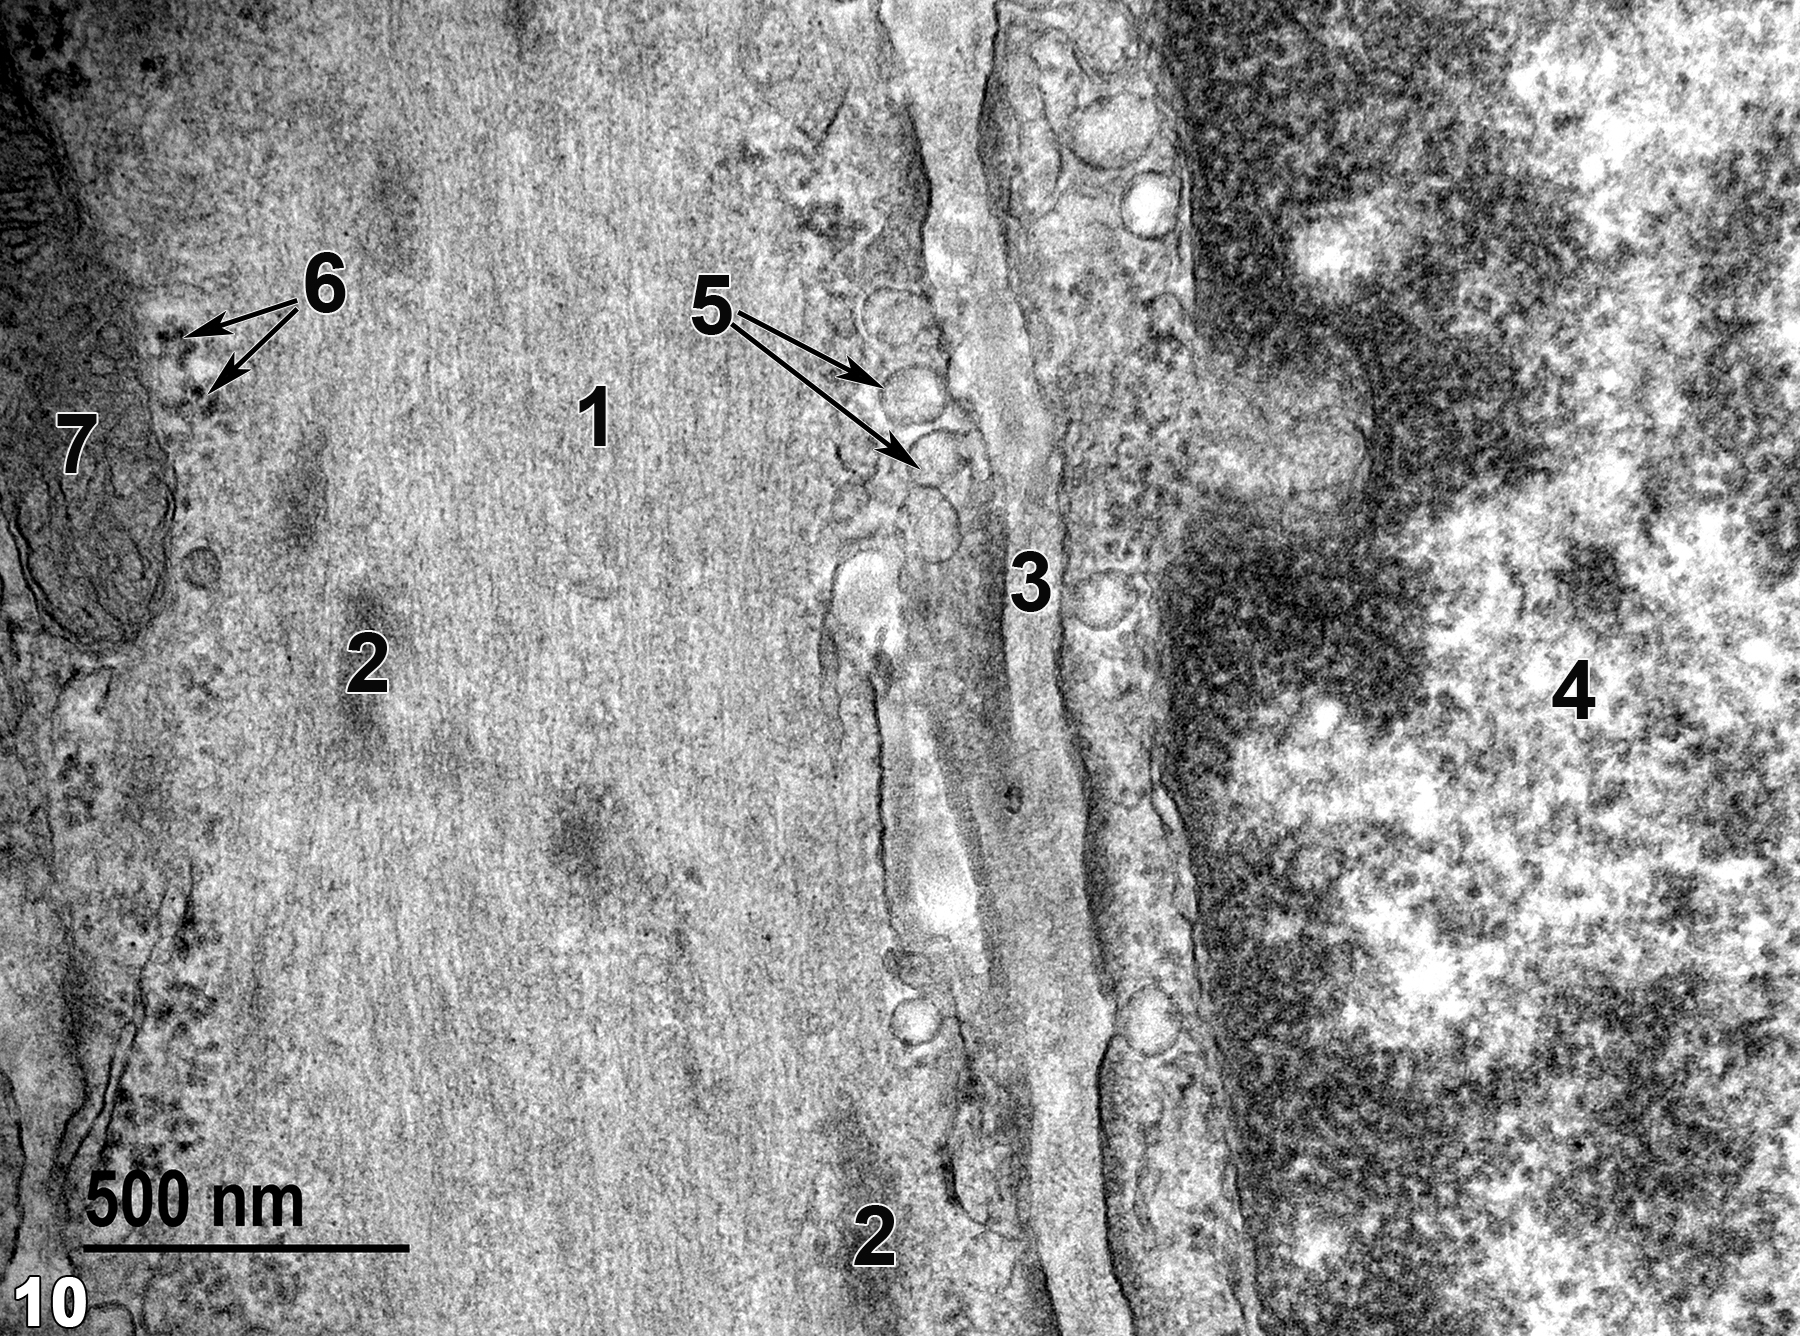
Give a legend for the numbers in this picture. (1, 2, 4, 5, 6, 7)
1: actin and myosin filaments
2: periodic dense bodies
4: nucleus
5: pinocytotic vesicles
6: scattered ribosomes
7: mitochondrion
